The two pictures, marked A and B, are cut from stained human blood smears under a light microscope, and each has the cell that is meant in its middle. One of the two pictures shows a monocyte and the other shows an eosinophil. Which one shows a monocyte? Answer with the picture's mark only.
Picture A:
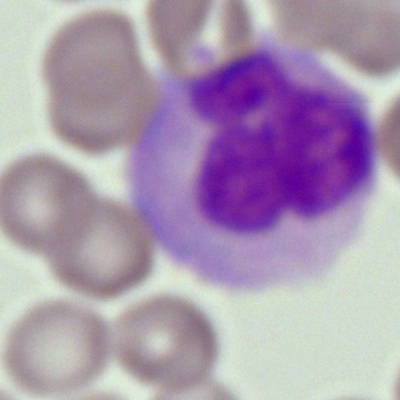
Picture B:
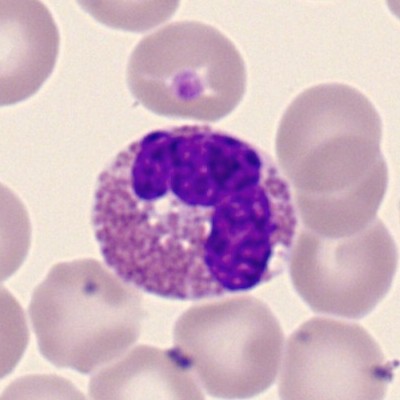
A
